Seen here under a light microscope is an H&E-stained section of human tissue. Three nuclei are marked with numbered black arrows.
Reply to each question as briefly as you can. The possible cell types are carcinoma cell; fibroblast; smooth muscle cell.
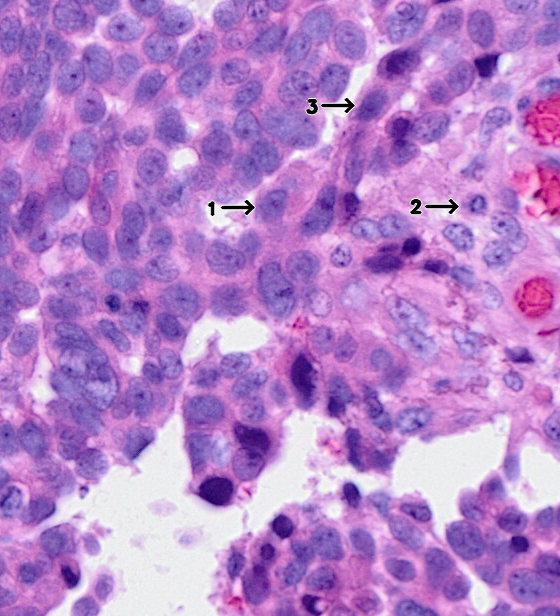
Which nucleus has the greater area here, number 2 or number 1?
1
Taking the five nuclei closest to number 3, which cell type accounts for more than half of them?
carcinoma cell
